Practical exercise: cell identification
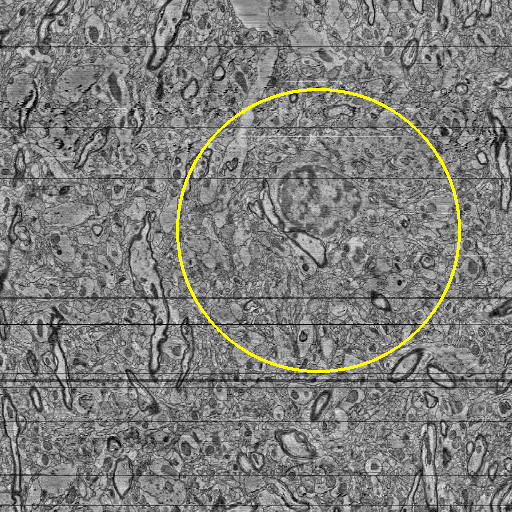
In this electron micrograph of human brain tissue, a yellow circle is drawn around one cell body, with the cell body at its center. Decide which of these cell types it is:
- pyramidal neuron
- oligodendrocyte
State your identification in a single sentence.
The ringed cell is an oligodendrocyte.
